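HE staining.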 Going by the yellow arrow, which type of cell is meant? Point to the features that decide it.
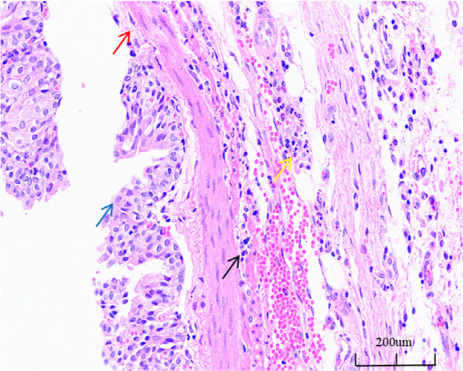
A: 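The arrow points to small dark-nucleated cells in the wall beside a pool of red blood cells.
Hence: inflammatory cells.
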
